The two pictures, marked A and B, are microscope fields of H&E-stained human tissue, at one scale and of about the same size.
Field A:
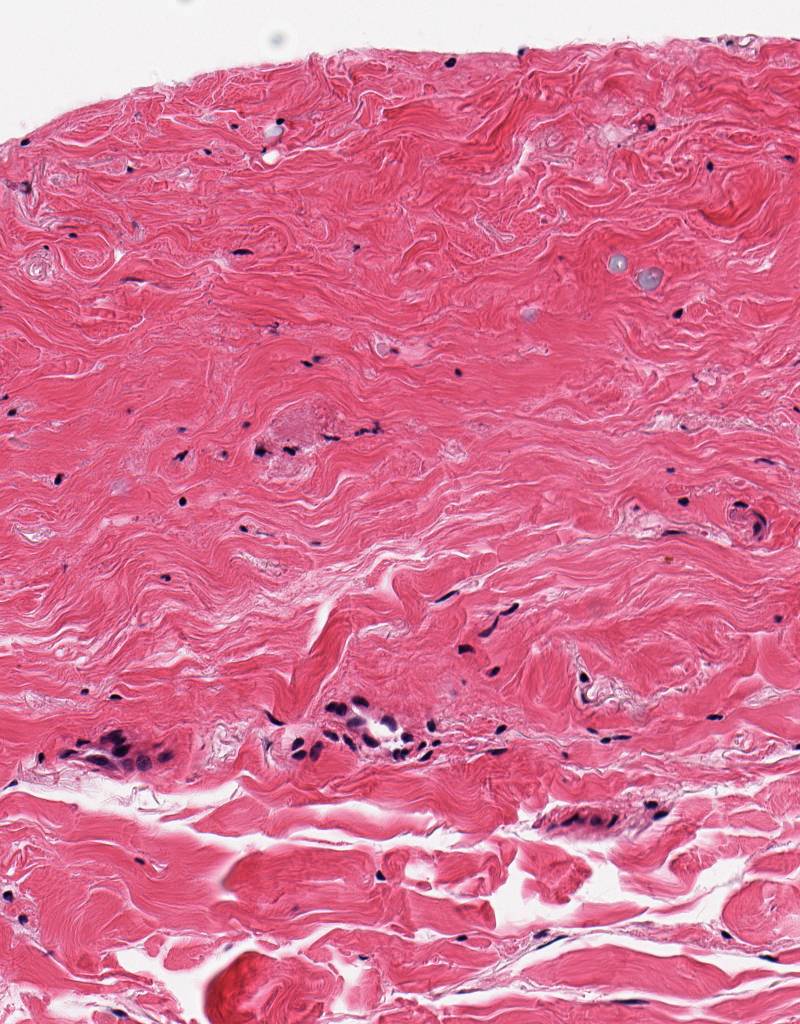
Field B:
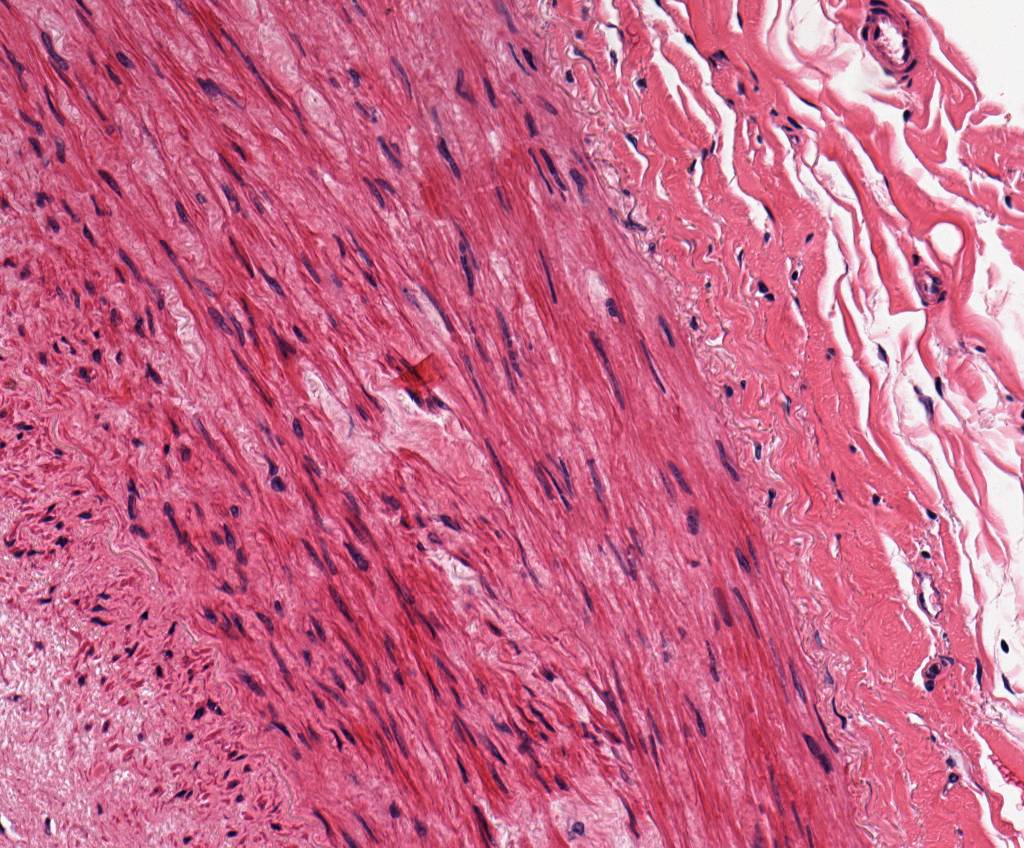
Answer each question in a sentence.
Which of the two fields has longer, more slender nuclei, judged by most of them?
The nuclei are more elongated in field B.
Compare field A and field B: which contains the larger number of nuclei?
Field B holds more nuclei than field A.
